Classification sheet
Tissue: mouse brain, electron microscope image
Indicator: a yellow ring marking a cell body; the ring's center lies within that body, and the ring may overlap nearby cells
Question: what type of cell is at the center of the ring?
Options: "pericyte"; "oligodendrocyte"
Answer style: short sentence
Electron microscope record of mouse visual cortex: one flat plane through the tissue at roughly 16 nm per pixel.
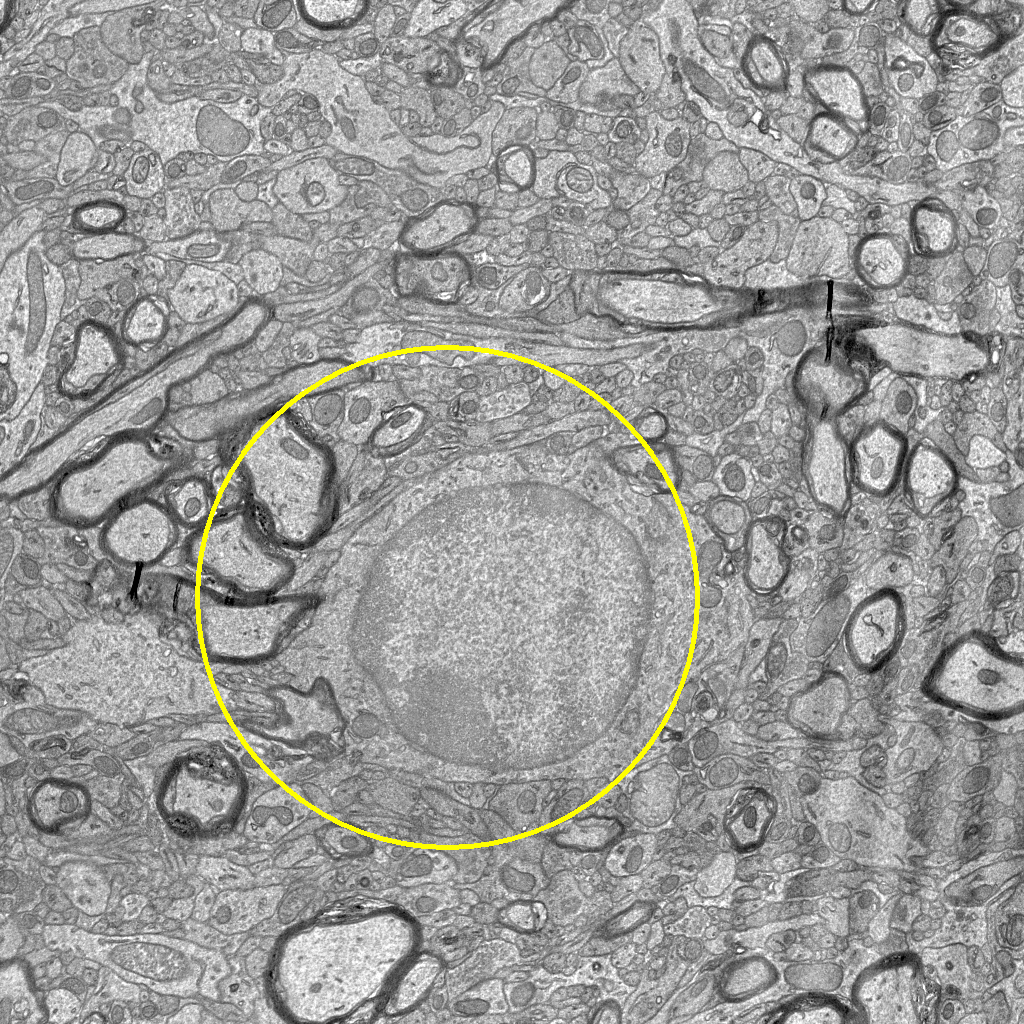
At the ring's center is an oligodendrocyte.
